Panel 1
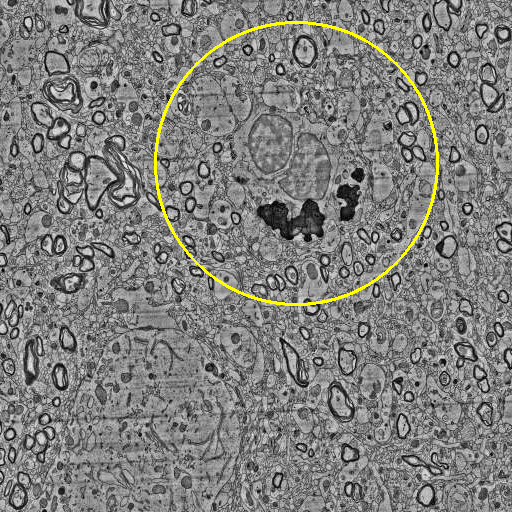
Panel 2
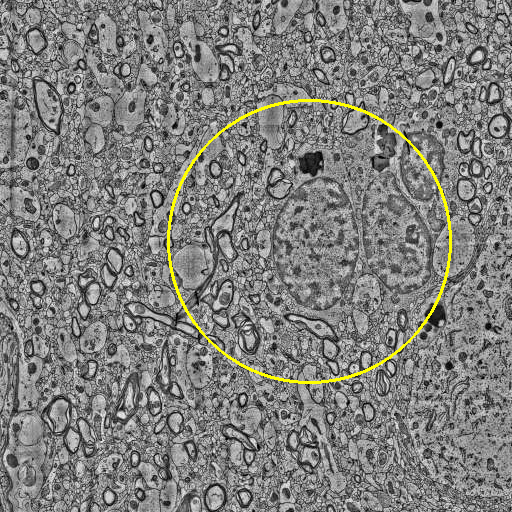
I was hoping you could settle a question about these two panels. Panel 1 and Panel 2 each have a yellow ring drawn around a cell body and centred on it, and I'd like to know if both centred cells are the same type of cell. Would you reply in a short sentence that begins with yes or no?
Yes, both are the same type of cell.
